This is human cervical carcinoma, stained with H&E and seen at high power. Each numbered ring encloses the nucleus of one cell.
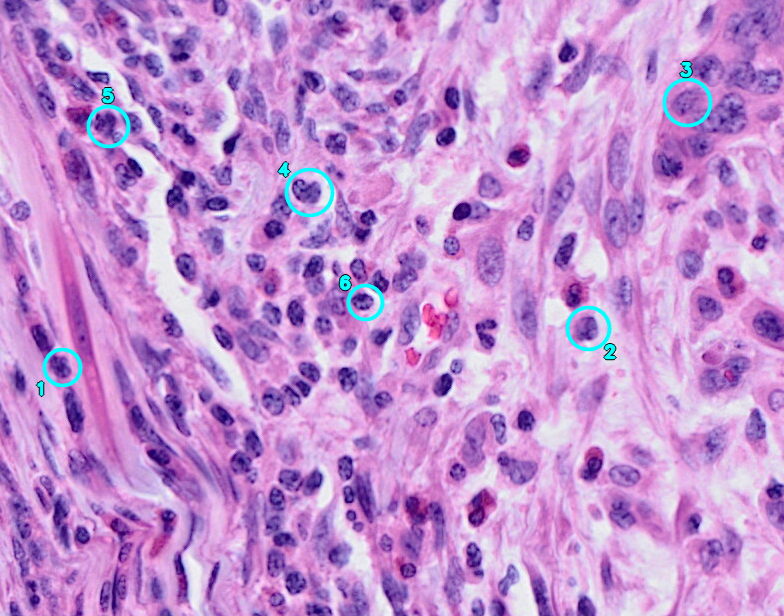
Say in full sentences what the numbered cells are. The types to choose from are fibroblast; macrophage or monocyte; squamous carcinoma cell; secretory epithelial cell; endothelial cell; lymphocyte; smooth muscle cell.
Cell 1 is a lymphocyte, cell 2 is a macrophage or monocyte, cell 3 is a squamous carcinoma cell, cell 4 is a lymphocyte, cell 5 is a lymphocyte and cell 6 is a lymphocyte.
